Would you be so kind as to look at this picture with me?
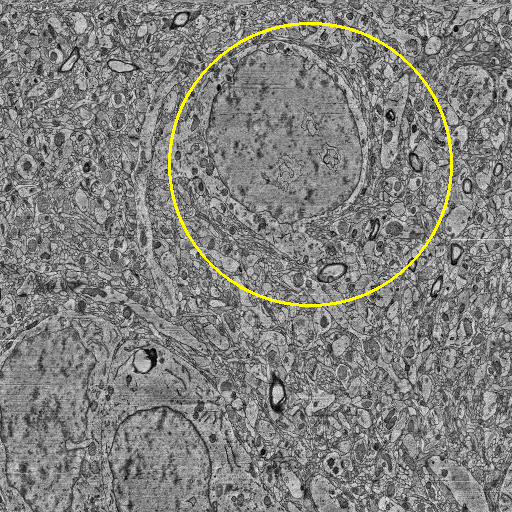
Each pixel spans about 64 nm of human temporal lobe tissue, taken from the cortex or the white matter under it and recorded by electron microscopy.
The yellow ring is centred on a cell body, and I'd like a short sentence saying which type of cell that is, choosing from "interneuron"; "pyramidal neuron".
The cell body in the ring belongs to a pyramidal neuron.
